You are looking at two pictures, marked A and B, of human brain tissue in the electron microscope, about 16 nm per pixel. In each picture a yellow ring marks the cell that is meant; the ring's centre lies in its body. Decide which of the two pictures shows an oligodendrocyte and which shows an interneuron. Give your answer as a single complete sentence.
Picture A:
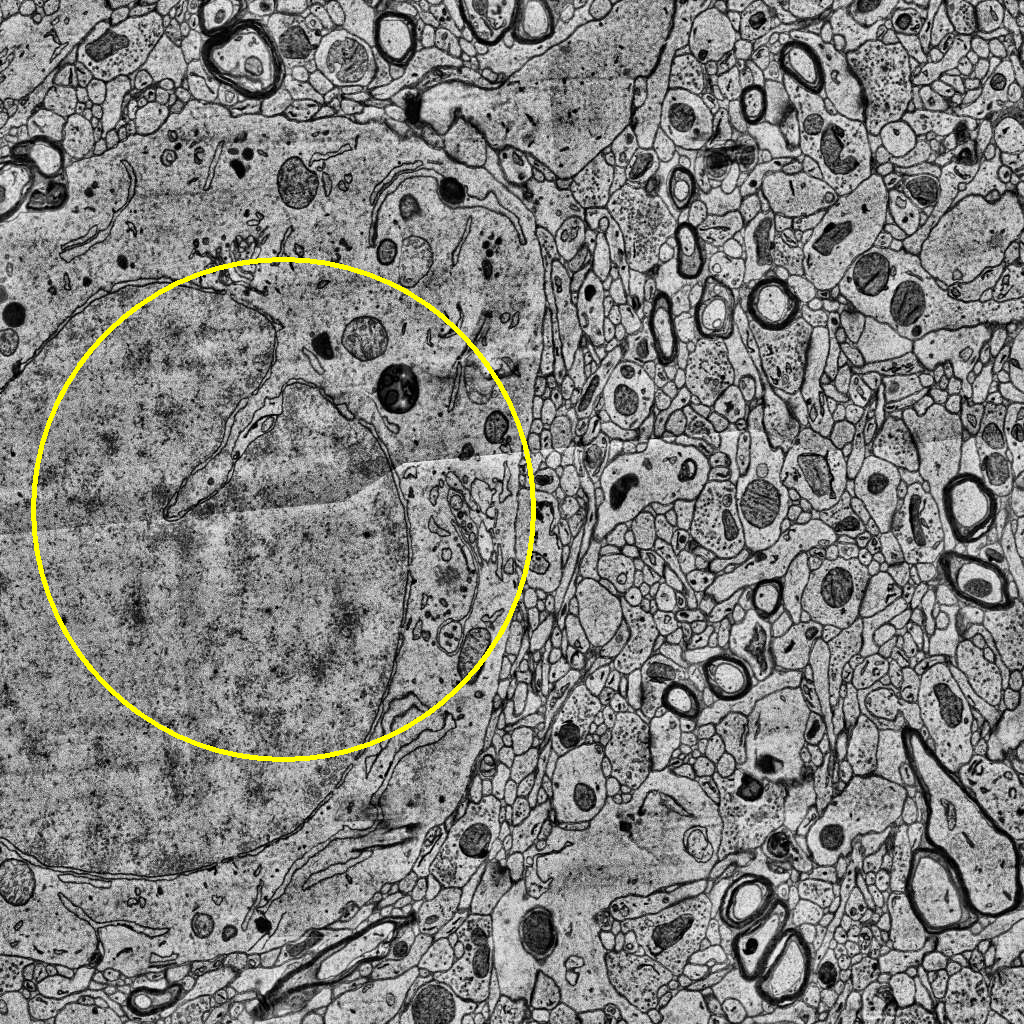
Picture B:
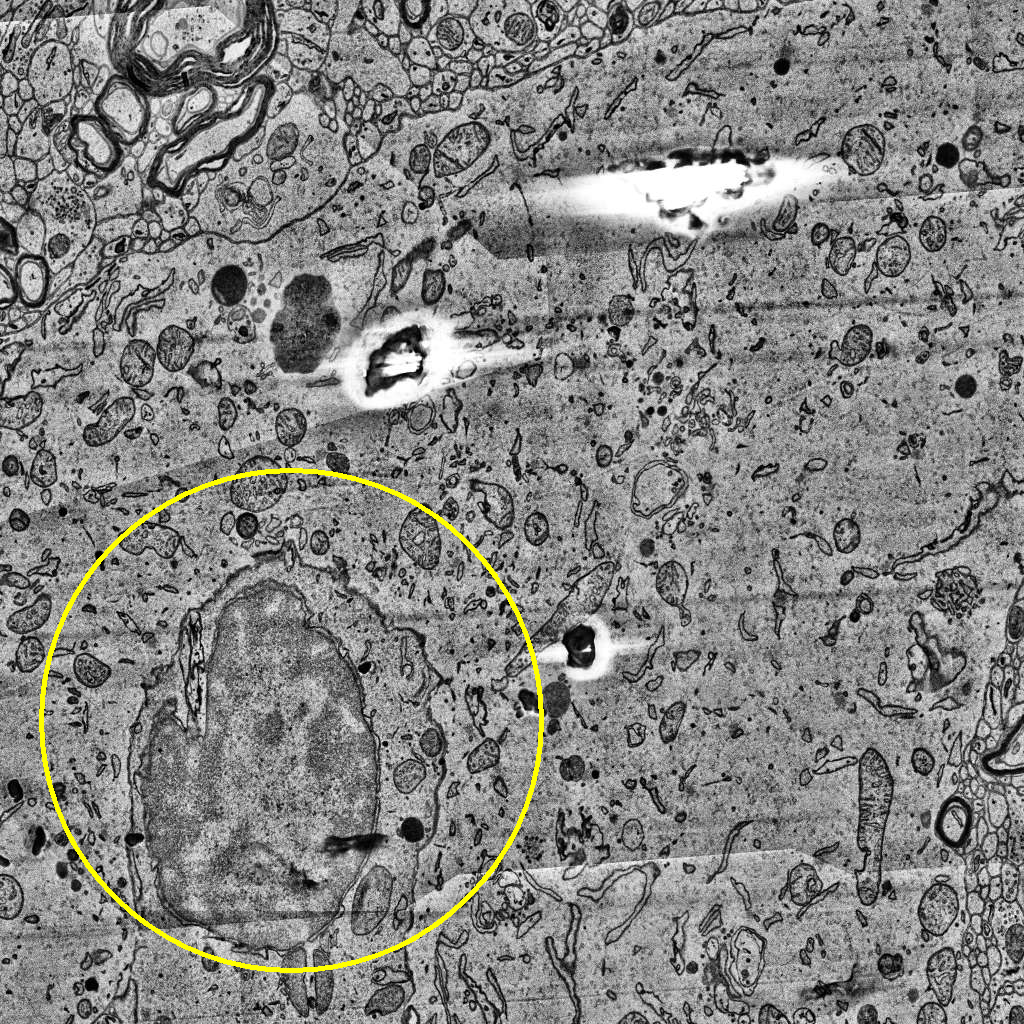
Picture A is of an interneuron, and picture B is of an oligodendrocyte.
